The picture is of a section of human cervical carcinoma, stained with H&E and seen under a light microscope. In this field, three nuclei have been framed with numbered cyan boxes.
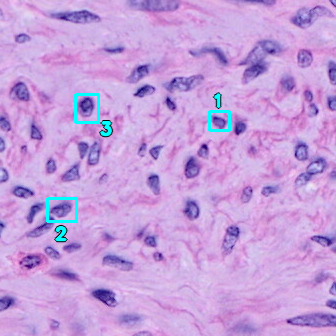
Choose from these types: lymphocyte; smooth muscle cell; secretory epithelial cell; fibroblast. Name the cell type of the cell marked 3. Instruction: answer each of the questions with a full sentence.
Nucleus 3 in this section belongs to a smooth muscle cell.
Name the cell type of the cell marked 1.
The one numbered 1 among the marked cells is a smooth muscle cell.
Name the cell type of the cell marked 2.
Among the marked nuclei, number 2 belongs to a fibroblast.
